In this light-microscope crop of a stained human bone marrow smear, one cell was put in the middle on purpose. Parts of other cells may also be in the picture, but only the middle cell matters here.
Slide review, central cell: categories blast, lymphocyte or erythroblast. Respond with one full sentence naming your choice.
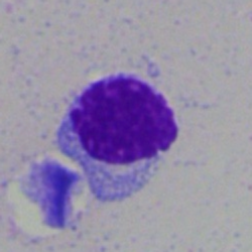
In the centre of this crop there is a lymphocyte.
